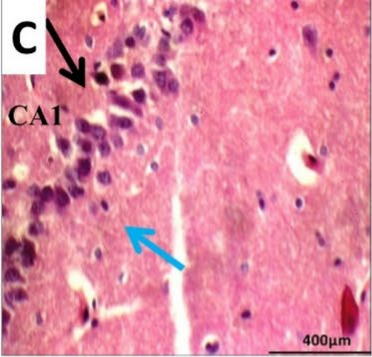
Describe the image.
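Along the left side runs a loose band of neurons, and many of them are dark purple, shrunken and angular rather than round and pale. Beyond this band lies wide pink neuropil with a few scattered small nuclei and some clear spaces. These are degenerated pyramidal neurons scattered within the hippocampal pyramidal layer, beside a largely ordinary neuropil.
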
